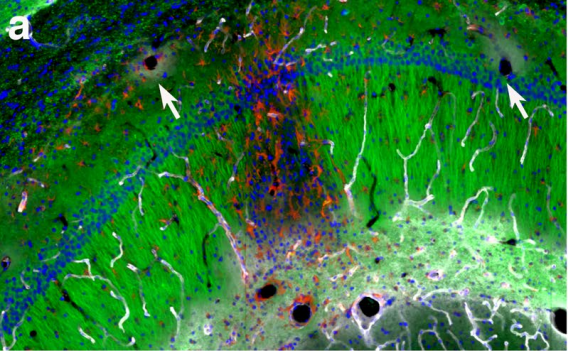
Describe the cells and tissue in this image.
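A curved band of tightly packed blue nuclei forms the pyramidal layer, with green parallel dendrites running away from it across the field. White branching vessels wind through the green dendritic layer, and a bright white, diffuse area lies at the lower right. A vertical band through the middle has lost much of its green fibres and is filled with red star-shaped astrocytes and crowded nuclei. Arrows mark vessels in the upper layer surrounded by a pale halo.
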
